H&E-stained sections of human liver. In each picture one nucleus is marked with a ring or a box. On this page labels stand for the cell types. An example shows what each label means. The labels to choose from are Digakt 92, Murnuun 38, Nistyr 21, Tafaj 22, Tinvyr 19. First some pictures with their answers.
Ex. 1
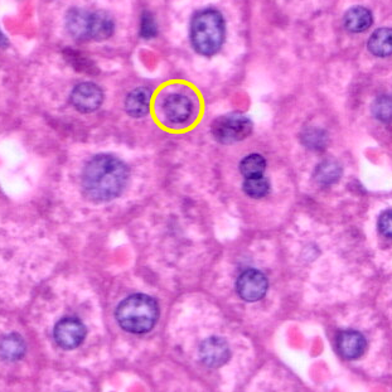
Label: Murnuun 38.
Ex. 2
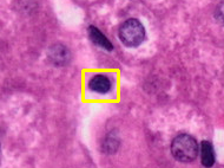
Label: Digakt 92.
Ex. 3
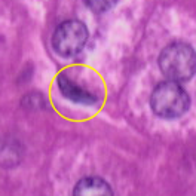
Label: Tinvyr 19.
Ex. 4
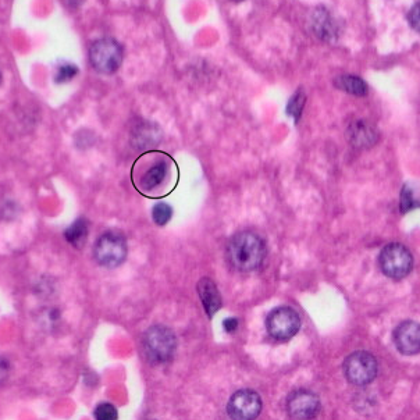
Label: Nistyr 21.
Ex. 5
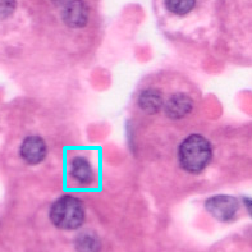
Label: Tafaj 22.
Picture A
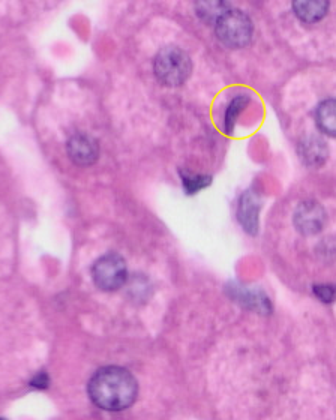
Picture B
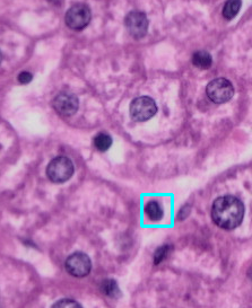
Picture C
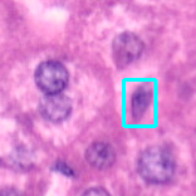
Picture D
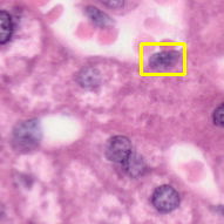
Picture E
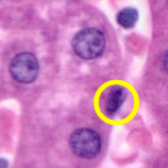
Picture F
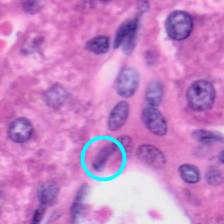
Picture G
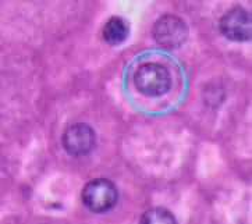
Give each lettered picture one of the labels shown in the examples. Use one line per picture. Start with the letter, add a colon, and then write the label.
A: Tinvyr 19.
B: Digakt 92.
C: Nistyr 21.
D: Tinvyr 19.
E: Tafaj 22.
F: Tafaj 22.
G: Murnuun 38.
